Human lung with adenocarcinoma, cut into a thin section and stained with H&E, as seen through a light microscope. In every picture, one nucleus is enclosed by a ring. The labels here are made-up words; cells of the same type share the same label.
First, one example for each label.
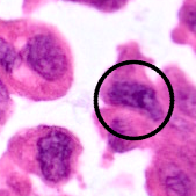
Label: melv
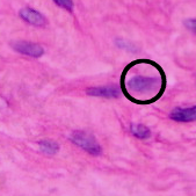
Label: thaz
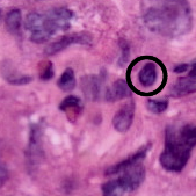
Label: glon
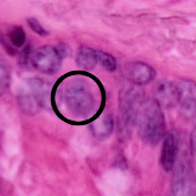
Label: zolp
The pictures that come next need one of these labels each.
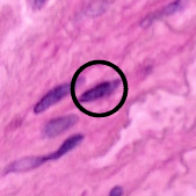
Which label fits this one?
thaz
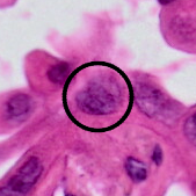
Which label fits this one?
melv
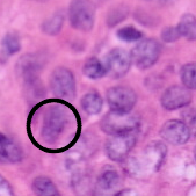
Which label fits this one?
zolp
